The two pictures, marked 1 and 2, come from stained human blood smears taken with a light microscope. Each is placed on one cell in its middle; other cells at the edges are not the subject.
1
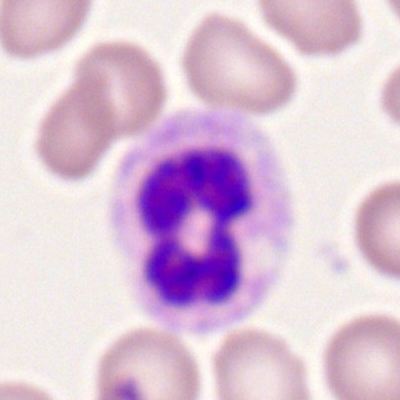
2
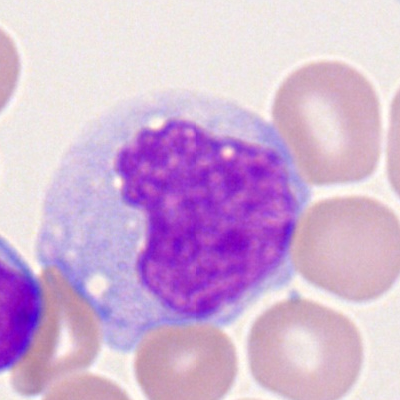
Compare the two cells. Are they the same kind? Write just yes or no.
no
